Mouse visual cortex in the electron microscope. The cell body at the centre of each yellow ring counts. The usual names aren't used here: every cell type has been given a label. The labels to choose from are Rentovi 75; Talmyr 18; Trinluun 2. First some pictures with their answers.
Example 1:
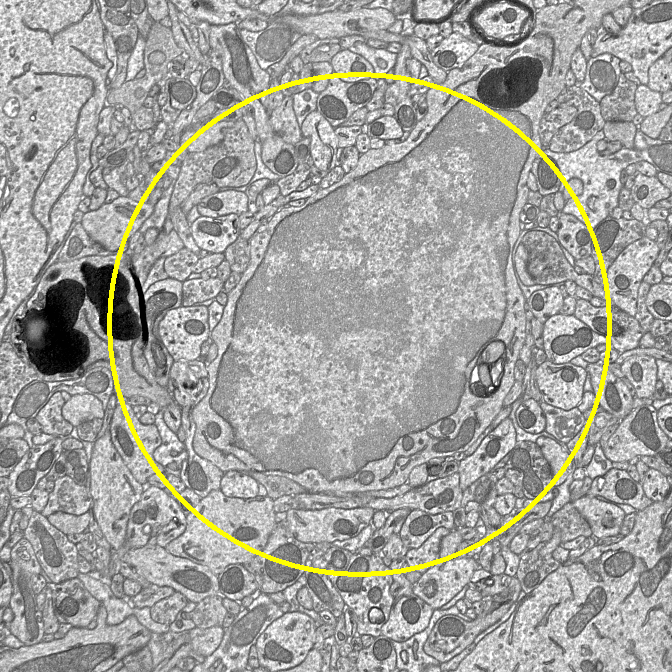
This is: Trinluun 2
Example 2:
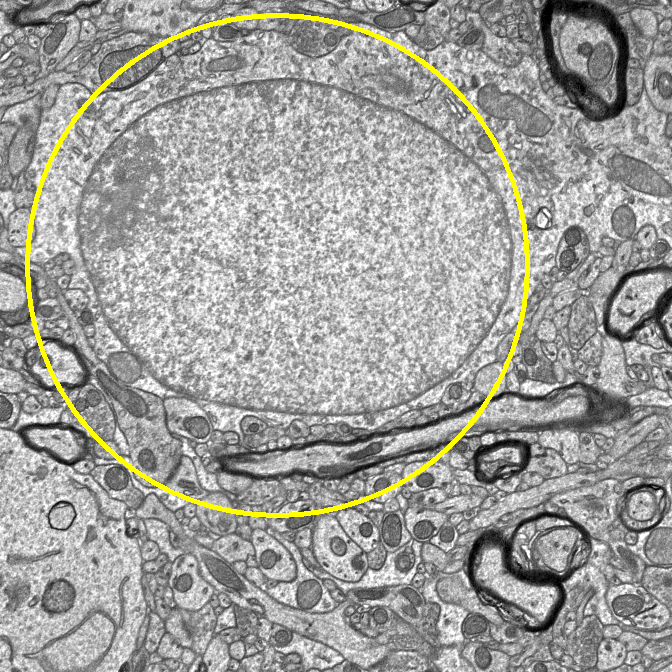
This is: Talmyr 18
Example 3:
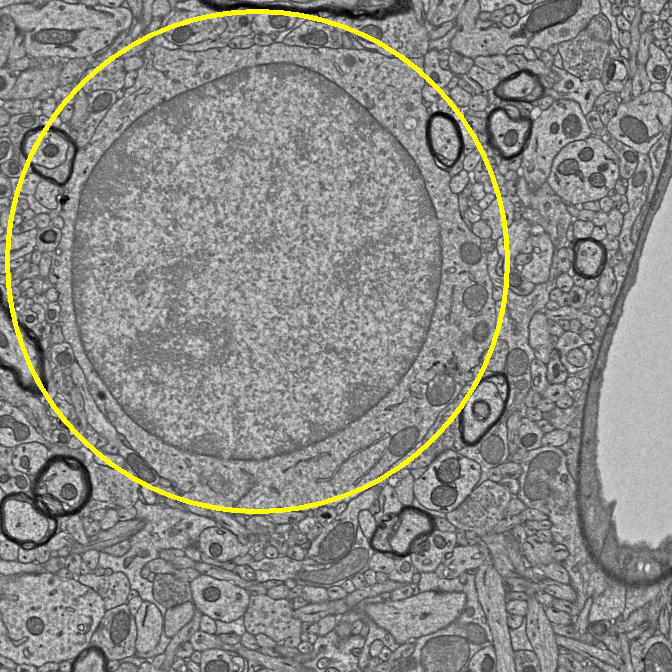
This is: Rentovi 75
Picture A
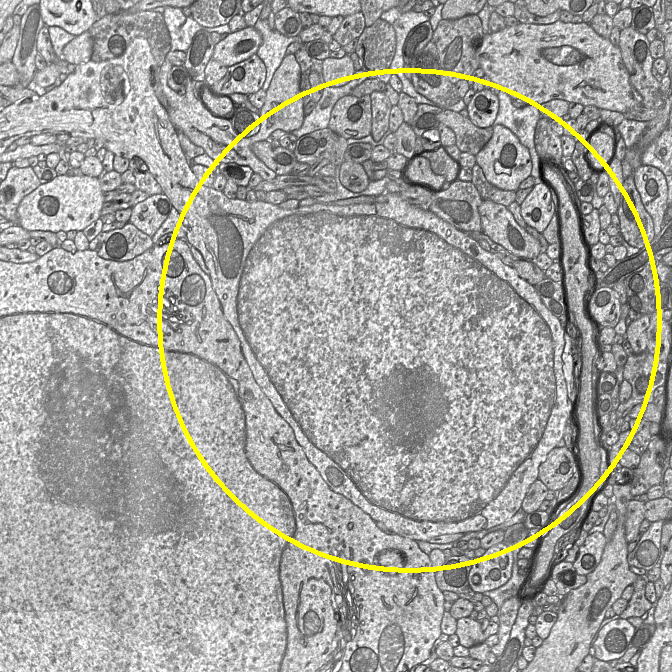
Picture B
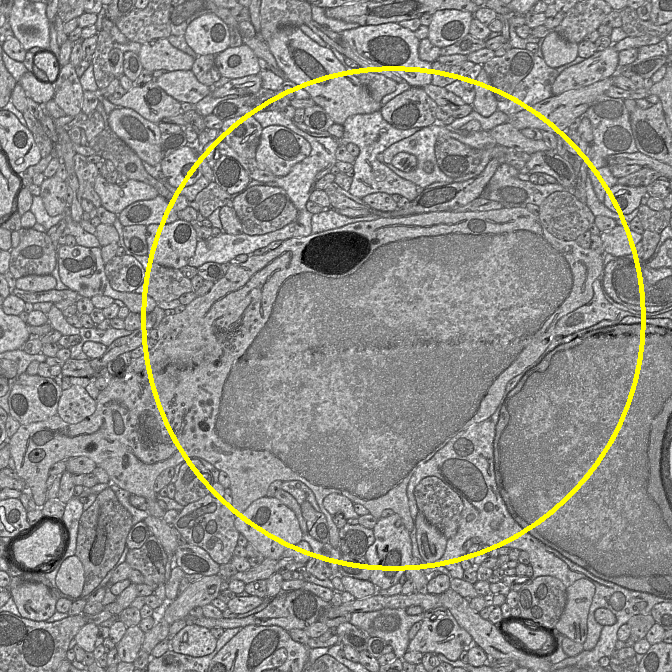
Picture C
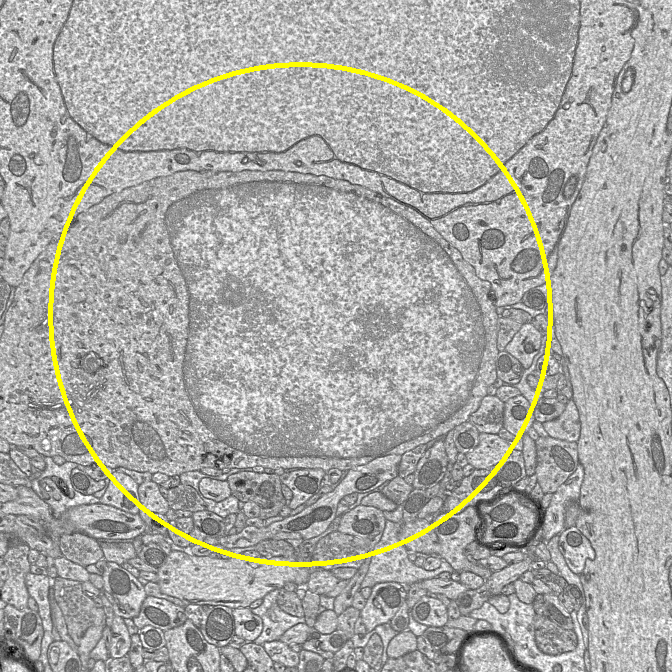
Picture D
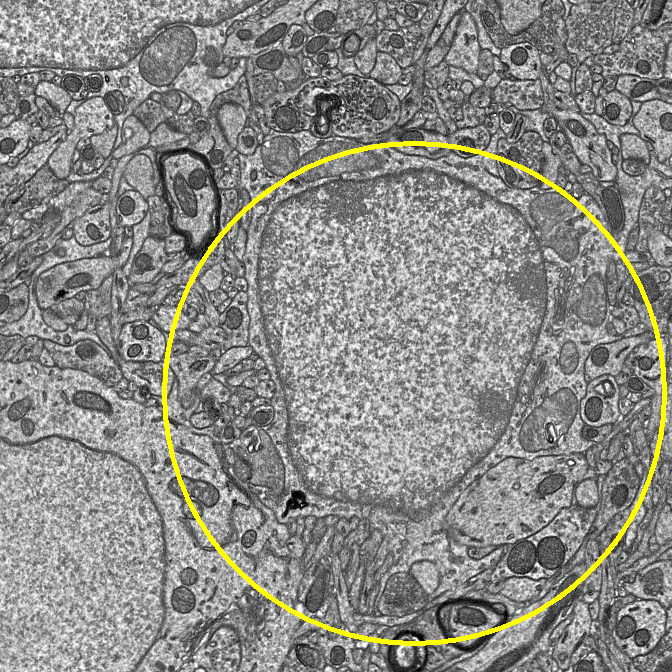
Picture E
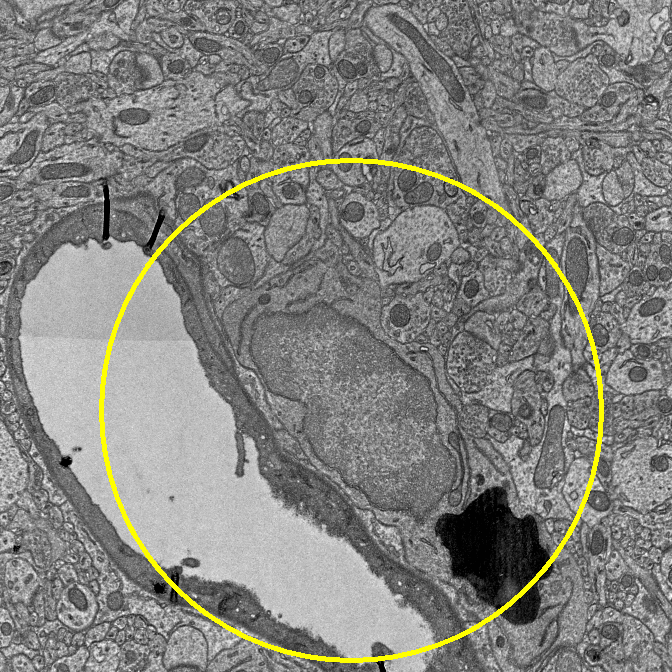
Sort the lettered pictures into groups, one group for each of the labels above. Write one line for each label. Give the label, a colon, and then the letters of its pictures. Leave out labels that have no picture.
Rentovi 75: A, C
Talmyr 18: D
Trinluun 2: B, E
